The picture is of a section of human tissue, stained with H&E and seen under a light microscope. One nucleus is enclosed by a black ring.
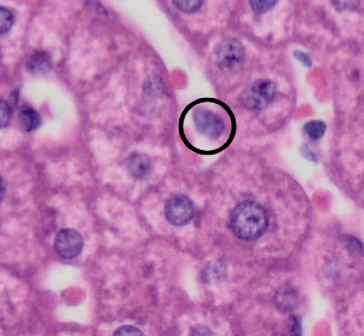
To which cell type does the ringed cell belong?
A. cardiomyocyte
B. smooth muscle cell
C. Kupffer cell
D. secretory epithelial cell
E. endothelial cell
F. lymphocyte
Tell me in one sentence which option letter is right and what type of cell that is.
According to option C, the ringed cell is a Kupffer cell, and this is correct.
